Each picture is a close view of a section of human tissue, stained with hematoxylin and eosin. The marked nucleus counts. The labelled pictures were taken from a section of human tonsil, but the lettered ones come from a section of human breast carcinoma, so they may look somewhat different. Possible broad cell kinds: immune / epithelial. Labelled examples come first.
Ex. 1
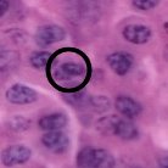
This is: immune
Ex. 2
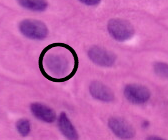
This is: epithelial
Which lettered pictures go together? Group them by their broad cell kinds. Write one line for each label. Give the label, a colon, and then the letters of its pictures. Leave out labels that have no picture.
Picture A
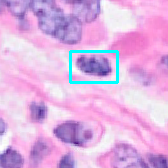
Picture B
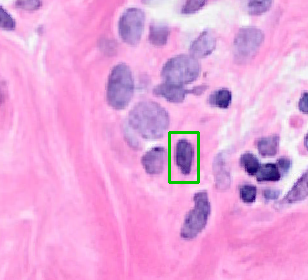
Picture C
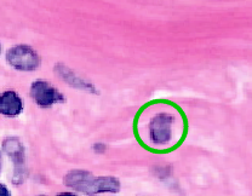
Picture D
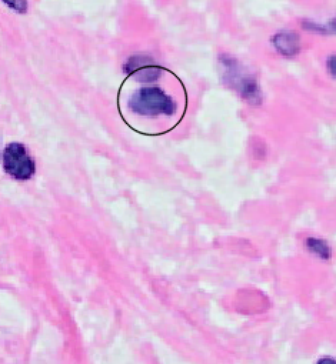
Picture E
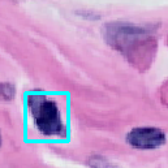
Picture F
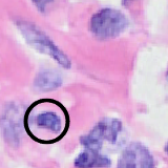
immune: A, B, C, D, E, F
